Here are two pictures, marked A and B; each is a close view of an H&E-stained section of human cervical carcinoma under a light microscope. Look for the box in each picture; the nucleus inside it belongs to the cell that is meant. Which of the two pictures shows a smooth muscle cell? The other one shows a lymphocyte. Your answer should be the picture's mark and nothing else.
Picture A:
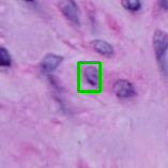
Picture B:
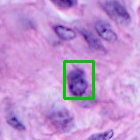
A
